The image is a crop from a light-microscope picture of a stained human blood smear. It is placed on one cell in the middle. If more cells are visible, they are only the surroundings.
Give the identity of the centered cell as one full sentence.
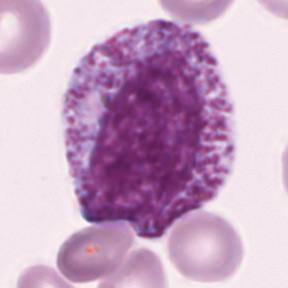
Looking at the middle of the crop, the cell there is a myelocyte.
